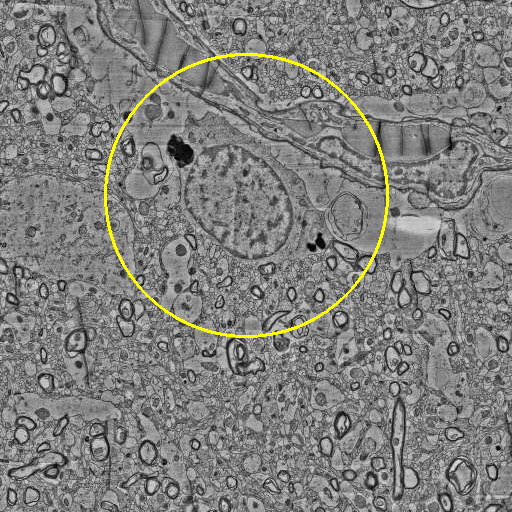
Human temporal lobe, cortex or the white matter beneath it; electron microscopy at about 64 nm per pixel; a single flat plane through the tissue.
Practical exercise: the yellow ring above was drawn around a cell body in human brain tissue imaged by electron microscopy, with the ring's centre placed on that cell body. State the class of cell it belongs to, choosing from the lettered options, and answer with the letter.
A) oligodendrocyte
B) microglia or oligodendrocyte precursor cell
A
